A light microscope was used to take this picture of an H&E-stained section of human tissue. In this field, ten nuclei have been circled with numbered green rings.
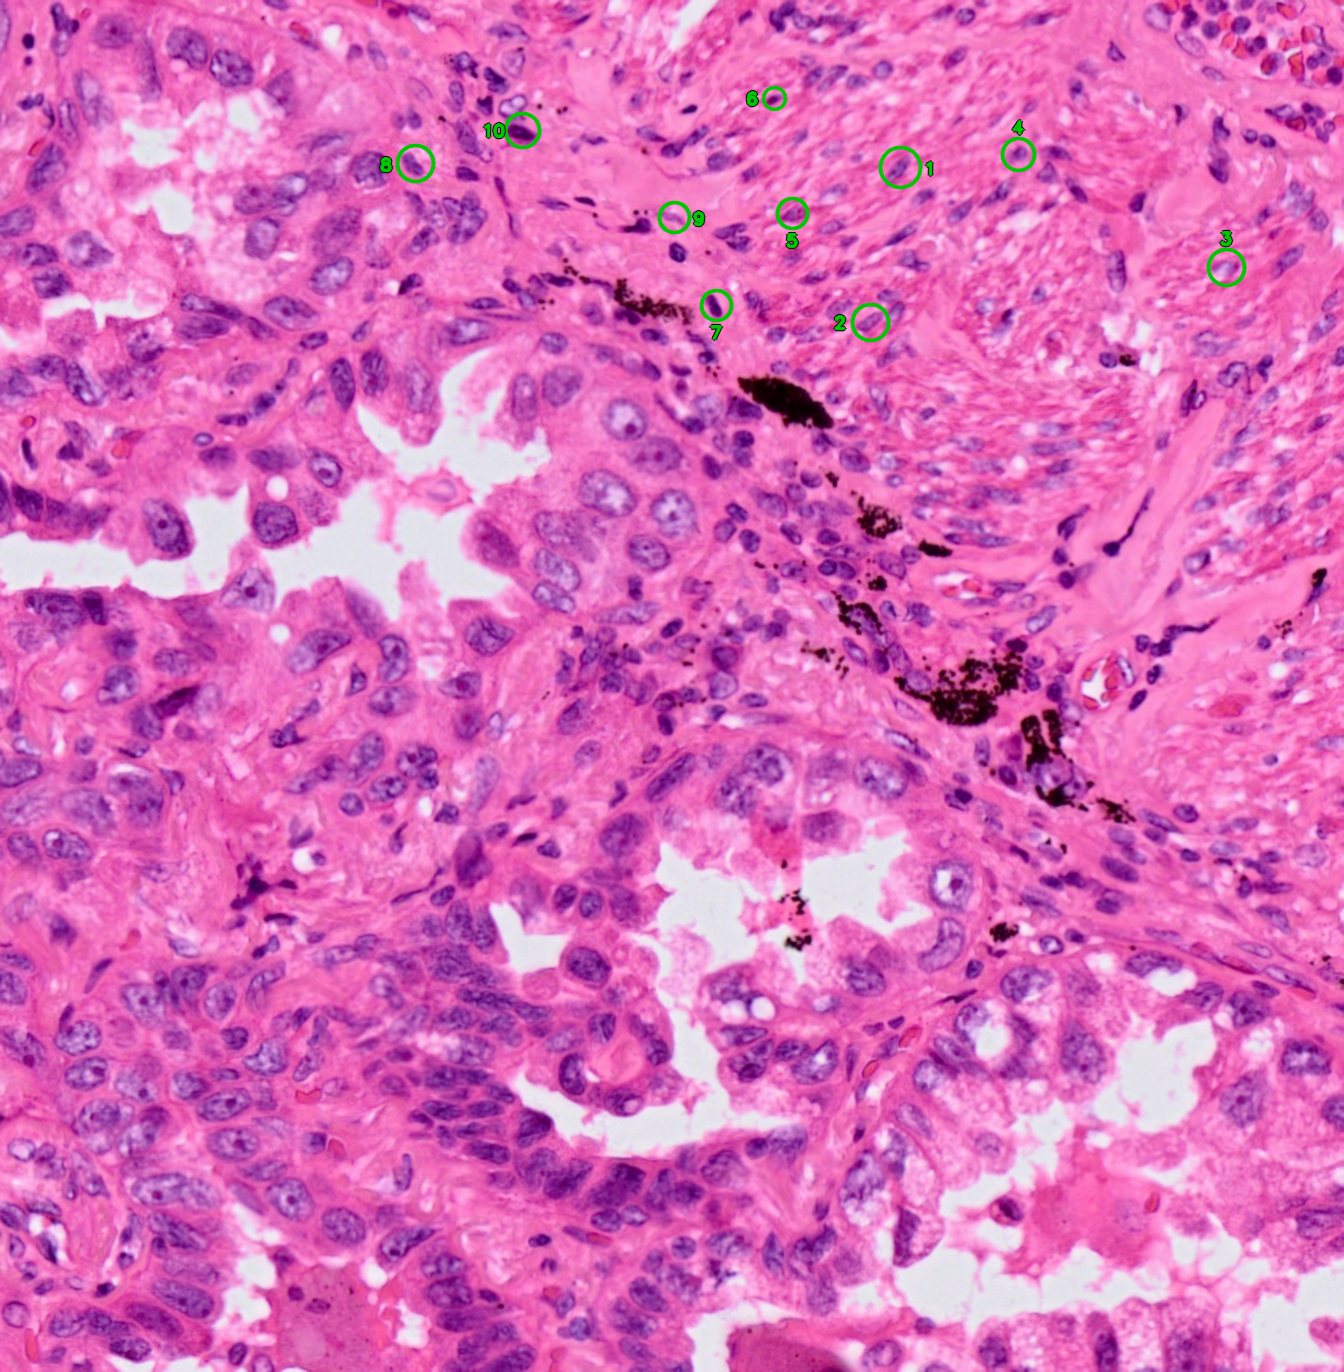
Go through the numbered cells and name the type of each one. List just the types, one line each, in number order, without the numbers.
smooth muscle cell or pericyte
smooth muscle cell or pericyte
smooth muscle cell or pericyte
smooth muscle cell or pericyte
smooth muscle cell or pericyte
smooth muscle cell or pericyte
lymphocyte
lymphocyte
fibroblast
plasma cell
